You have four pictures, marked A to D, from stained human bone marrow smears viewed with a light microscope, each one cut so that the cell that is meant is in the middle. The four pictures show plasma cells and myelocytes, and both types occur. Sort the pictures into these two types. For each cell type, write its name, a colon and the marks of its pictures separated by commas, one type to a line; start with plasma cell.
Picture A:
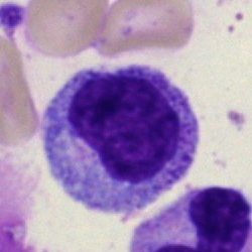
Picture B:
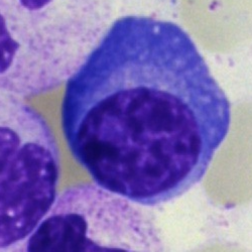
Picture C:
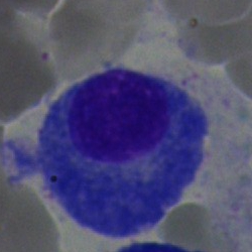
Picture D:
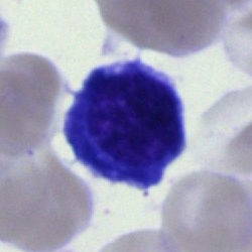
plasma cell: B, C, D
myelocyte: A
